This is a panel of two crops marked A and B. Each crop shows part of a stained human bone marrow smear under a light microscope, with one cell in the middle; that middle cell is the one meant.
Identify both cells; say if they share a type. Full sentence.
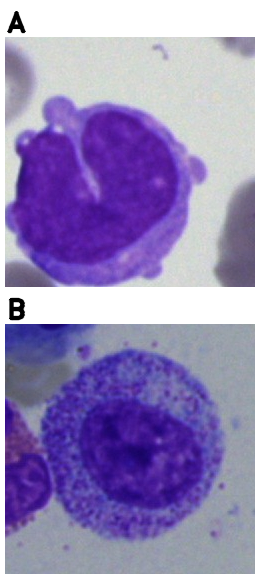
No, crop A depicts a monocyte; crop B depicts a myelocyte.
